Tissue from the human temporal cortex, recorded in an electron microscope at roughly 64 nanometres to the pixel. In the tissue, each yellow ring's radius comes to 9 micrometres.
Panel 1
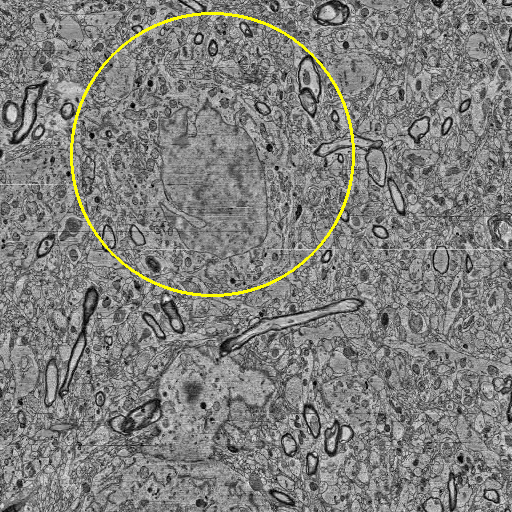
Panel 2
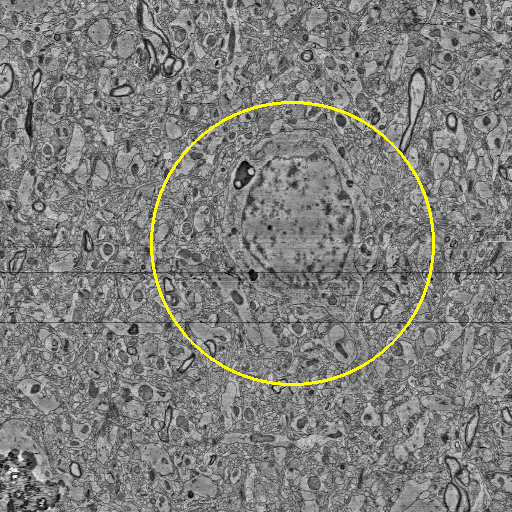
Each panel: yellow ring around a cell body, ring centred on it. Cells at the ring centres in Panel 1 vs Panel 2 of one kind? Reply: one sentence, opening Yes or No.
Yes, Panel 1 and Panel 2 have cells of one kind at the ring centres.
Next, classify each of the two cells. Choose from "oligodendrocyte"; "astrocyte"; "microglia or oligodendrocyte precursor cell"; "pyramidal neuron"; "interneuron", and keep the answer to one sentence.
The ring centre holds an interneuron in each of the two pictures.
